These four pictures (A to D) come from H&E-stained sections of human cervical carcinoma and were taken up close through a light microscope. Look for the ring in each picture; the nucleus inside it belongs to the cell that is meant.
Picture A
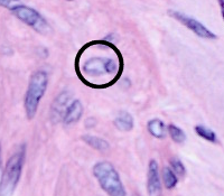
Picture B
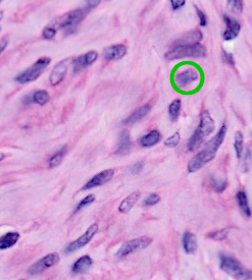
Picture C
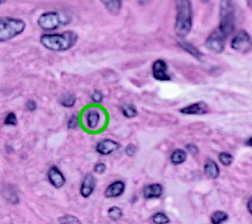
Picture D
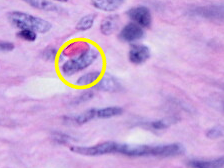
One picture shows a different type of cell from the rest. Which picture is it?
D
